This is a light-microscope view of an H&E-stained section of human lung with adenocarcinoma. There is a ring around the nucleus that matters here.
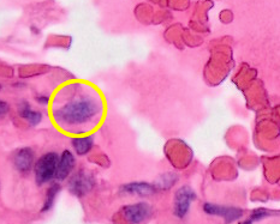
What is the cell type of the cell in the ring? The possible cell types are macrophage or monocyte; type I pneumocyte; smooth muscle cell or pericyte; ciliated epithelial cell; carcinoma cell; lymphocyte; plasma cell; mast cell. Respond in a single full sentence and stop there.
Within this tissue, the cell in the ring is a type I pneumocyte.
